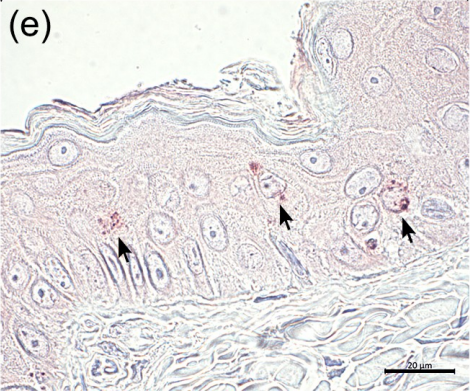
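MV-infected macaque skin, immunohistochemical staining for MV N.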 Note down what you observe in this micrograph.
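Stratified squamous epidermis over pale fibrous dermis. At the bottom, a basal row of tall, palisaded cells with elongated nuclei rests on the dermis. Above it, suprabasal keratinocytes have round to oval pale nuclei with small nucleoli and finely granular pinkish cytoplasm, becoming flatter toward the top, where a thin wavy cornified layer covers the surface. Scattered among the suprabasal cells are several cells with coarse red granular stain in the cytoplasm. The dermis below shows wavy collagen fibres with sparse elongated nuclei.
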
